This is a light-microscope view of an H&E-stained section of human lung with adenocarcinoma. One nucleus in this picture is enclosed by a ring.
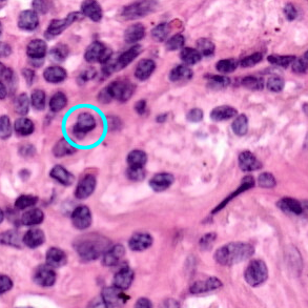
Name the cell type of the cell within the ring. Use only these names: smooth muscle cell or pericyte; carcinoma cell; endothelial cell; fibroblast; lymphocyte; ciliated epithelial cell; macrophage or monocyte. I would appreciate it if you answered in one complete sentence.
Labelled by cell type, the cell within the ring is a lymphocyte.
